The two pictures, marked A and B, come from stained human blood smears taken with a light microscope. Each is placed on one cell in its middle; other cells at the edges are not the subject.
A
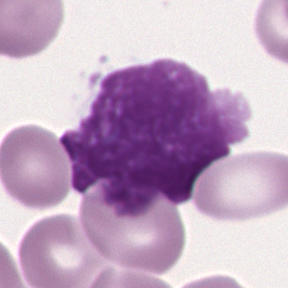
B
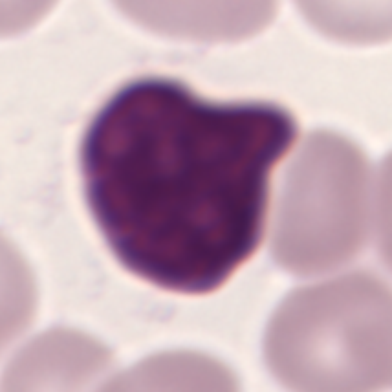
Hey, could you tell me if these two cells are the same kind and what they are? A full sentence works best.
Yes, put down smudge cells for both crops.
